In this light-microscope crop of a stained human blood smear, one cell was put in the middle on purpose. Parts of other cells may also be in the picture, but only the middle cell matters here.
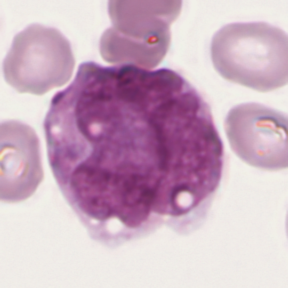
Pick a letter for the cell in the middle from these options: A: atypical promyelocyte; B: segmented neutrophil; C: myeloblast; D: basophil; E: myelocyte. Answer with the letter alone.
A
